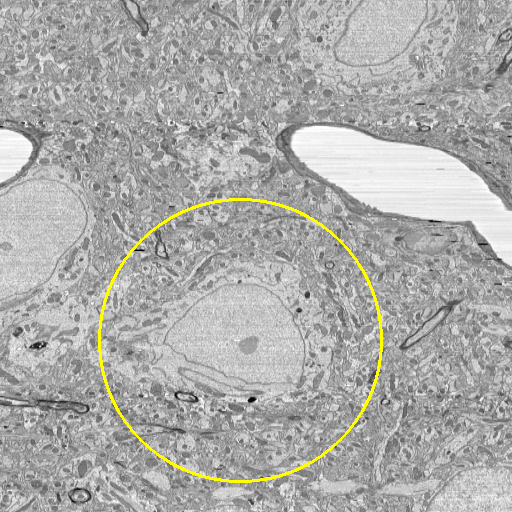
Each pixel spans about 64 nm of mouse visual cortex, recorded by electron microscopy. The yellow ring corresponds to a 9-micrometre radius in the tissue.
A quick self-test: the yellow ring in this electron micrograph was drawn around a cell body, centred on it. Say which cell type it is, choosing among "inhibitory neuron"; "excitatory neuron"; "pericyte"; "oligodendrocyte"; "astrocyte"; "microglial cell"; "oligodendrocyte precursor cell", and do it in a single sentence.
The yellow-ringed cell is an excitatory neuron.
